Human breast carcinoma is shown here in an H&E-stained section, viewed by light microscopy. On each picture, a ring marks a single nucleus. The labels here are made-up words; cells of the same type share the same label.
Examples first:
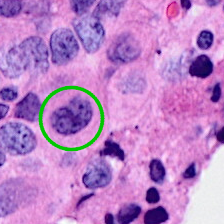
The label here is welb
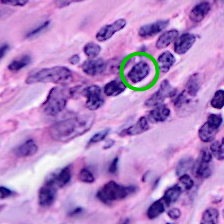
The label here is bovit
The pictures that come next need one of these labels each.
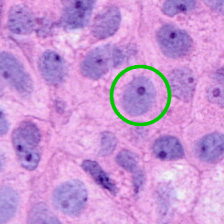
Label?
welb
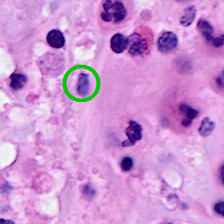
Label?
bovit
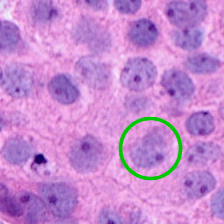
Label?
welb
